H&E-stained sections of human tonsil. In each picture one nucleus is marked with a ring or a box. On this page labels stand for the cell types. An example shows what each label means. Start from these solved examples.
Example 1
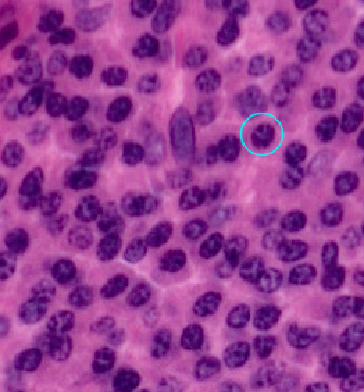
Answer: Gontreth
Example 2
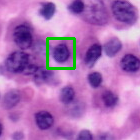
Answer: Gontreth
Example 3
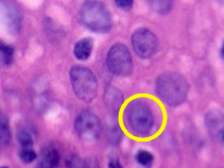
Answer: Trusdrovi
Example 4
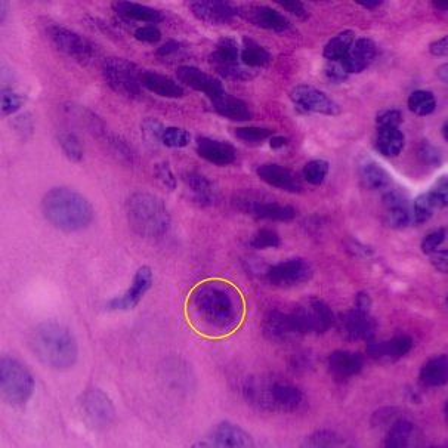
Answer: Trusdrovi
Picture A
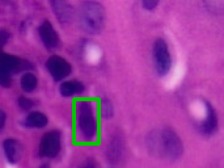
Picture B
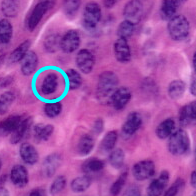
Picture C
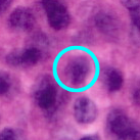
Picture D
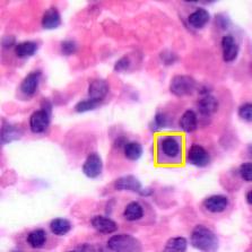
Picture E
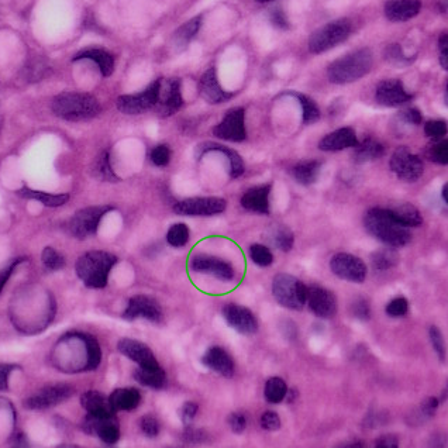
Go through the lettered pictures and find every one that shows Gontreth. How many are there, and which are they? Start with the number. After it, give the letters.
2: B, D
